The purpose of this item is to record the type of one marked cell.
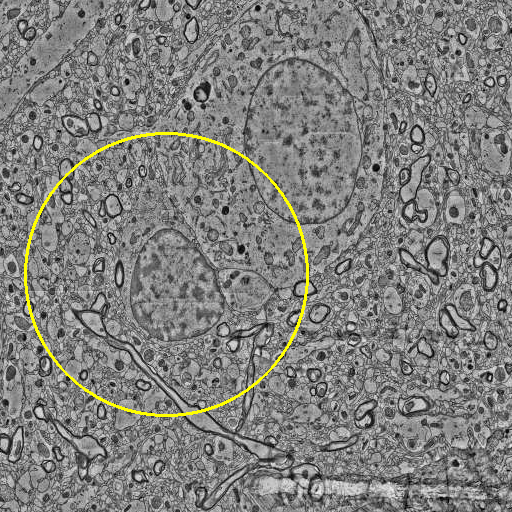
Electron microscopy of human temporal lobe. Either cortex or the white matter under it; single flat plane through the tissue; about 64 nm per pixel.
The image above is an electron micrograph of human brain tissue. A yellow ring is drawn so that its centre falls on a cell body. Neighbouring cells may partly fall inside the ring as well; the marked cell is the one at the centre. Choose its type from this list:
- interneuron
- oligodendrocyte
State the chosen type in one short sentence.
What the ring marks here is an oligodendrocyte.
